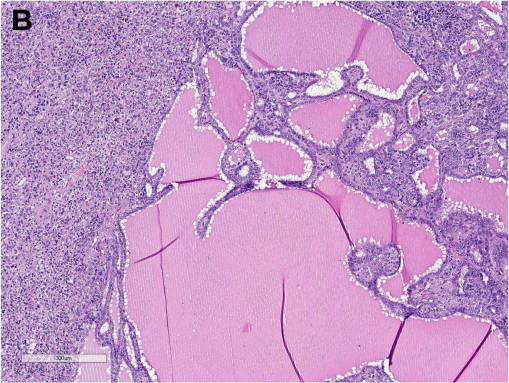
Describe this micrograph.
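This tumor is made of glandular structures with marked cystic expansion of their lumens. The cystic spaces are filled with homogeneous, pale pink amorphous material that shows straight cracks. Thin strands and small clusters of tumor cells line and partition the cysts, while on the left a more solid sheet of crowded tumor cells with dark nuclei is seen.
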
